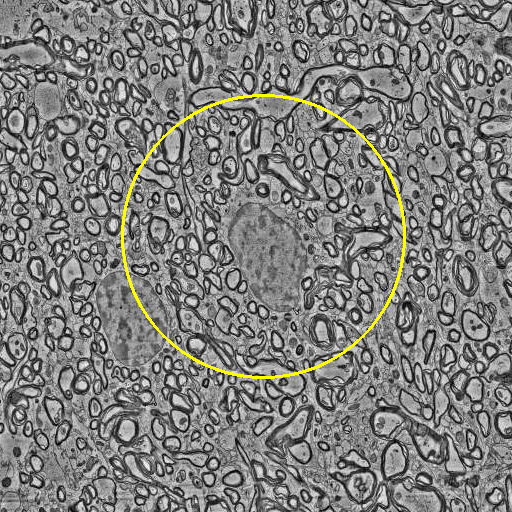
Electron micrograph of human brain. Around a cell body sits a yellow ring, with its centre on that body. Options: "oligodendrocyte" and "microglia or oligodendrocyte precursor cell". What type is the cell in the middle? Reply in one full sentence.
The cell sitting at the centre of the yellow ring is an oligodendrocyte.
